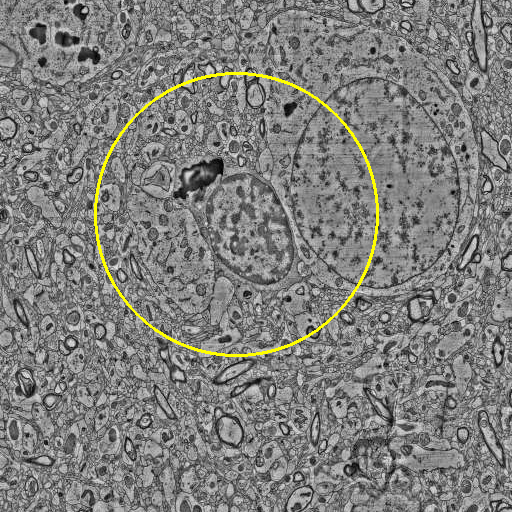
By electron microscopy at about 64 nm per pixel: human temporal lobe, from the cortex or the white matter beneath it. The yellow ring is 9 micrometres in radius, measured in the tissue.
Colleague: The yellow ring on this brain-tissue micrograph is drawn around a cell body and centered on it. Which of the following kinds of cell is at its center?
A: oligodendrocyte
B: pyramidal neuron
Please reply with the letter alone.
A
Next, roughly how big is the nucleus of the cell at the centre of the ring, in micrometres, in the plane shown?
Roughly 7 by 5 micrometres in this plane, for the nucleus of the ringed cell.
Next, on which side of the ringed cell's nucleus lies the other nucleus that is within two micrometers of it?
The other one lies to the upper right of it.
